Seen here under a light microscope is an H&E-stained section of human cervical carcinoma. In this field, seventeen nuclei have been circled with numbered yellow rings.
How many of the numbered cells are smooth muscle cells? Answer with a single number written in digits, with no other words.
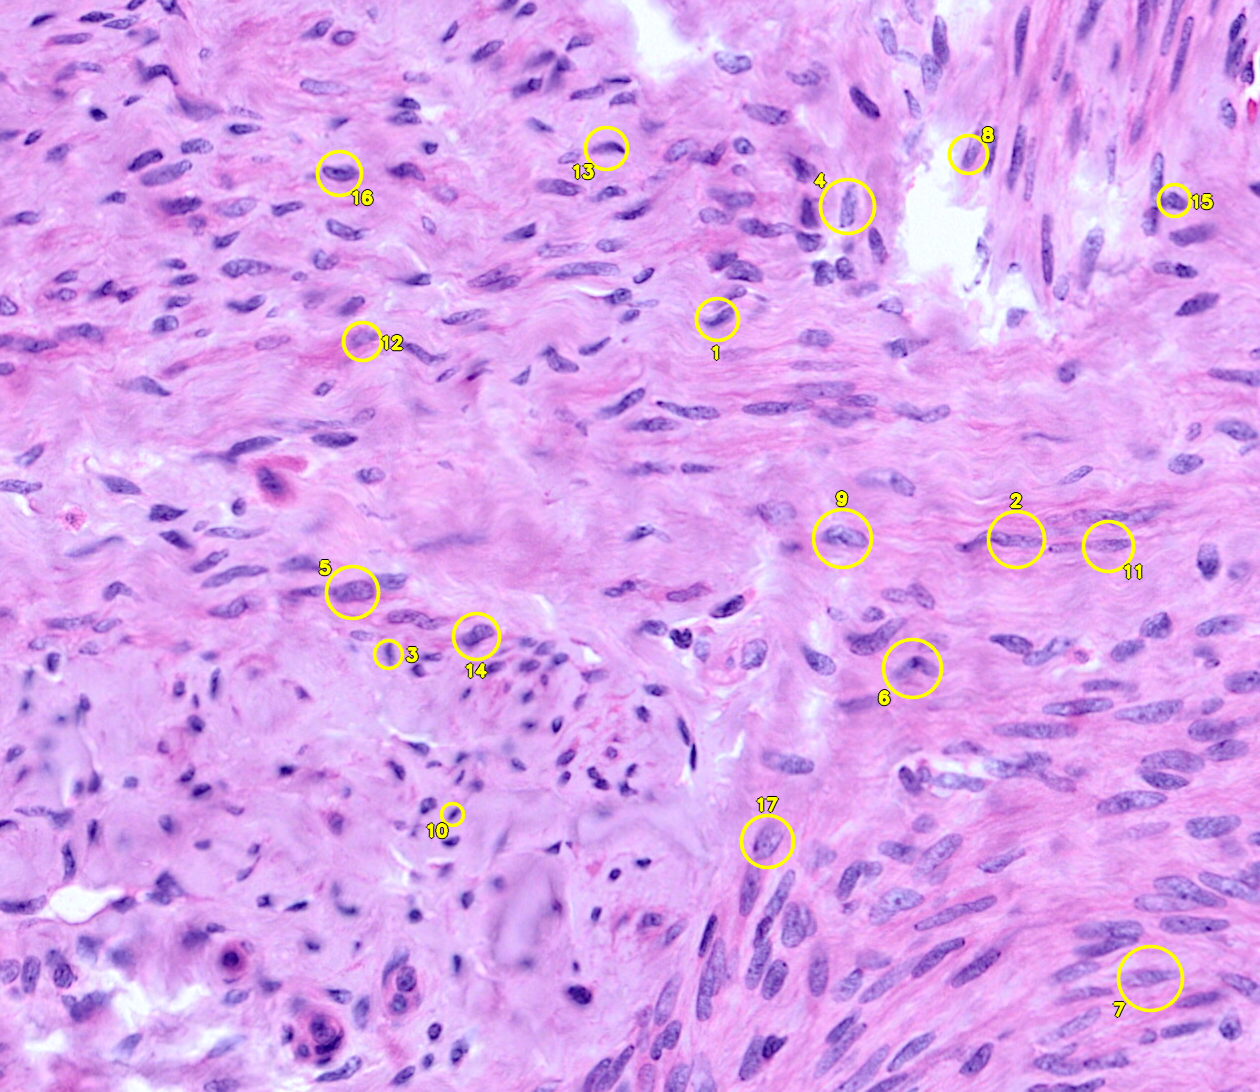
9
